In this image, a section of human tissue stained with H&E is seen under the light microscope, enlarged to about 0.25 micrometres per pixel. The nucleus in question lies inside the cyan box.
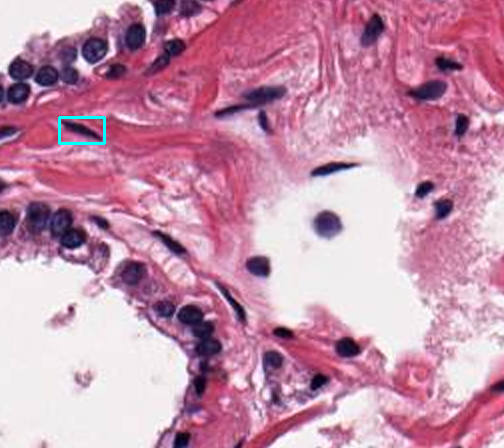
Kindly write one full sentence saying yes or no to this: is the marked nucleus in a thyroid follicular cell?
No, the marked nucleus is assigned not to a thyroid follicular cell but to a supporting cell.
